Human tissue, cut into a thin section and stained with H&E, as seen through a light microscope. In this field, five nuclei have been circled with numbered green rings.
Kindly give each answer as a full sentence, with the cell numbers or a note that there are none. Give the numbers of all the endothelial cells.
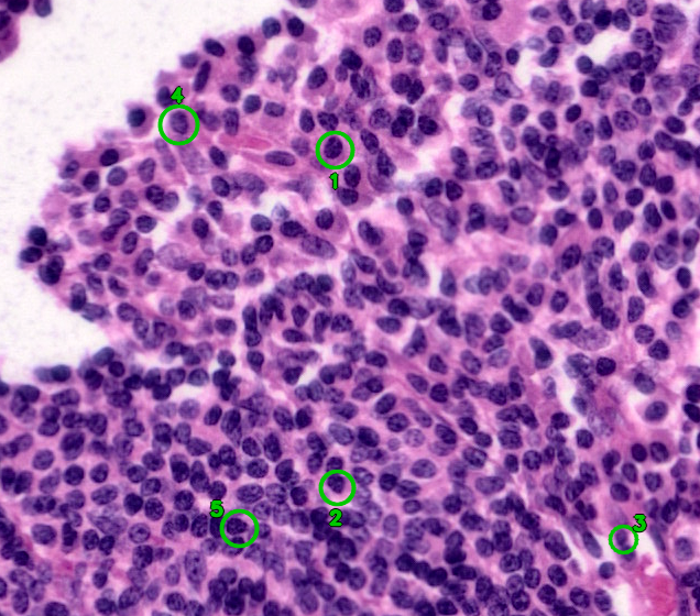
Just one numbered cell is an endothelial cell, and that cell is number 3.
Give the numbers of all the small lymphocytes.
Regarding the numbered cells 2 and 5, these are small lymphocytes.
